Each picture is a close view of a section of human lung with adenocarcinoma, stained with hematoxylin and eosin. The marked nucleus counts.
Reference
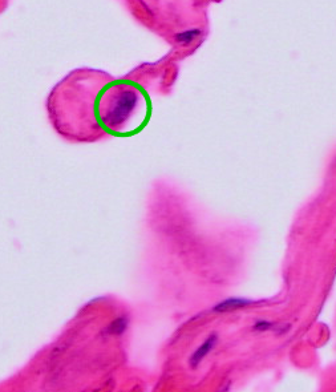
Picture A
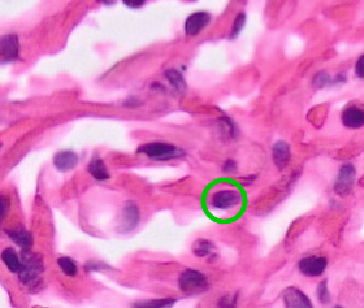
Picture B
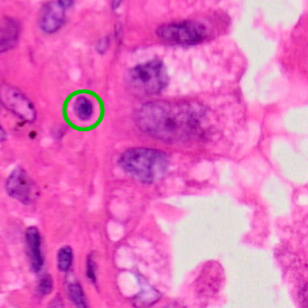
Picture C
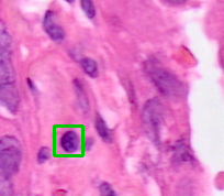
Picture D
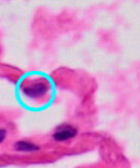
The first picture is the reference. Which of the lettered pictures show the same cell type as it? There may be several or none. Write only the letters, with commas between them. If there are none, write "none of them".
A, D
